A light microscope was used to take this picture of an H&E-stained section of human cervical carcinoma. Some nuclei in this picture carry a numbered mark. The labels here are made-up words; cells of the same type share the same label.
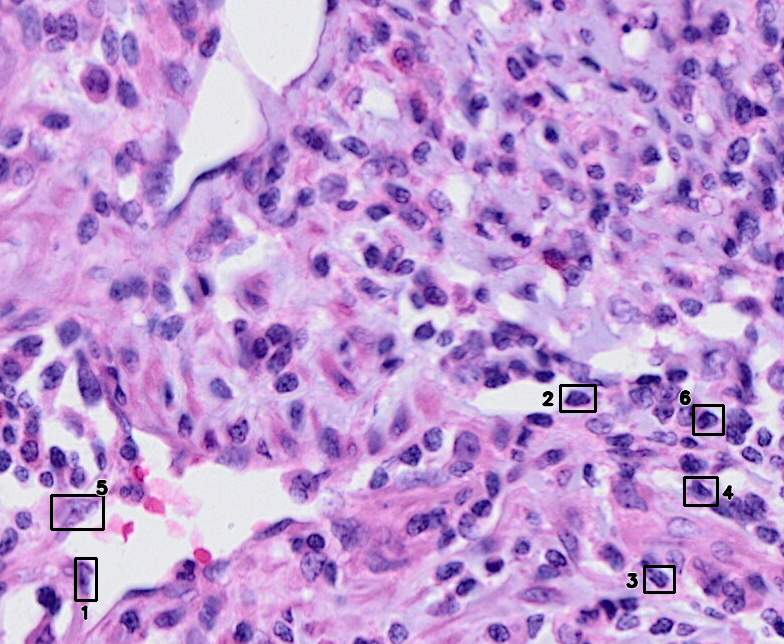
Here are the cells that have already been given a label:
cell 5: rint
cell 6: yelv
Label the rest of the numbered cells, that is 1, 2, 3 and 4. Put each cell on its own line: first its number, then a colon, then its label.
1: rint
2: yelv
3: yelv
4: yelv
